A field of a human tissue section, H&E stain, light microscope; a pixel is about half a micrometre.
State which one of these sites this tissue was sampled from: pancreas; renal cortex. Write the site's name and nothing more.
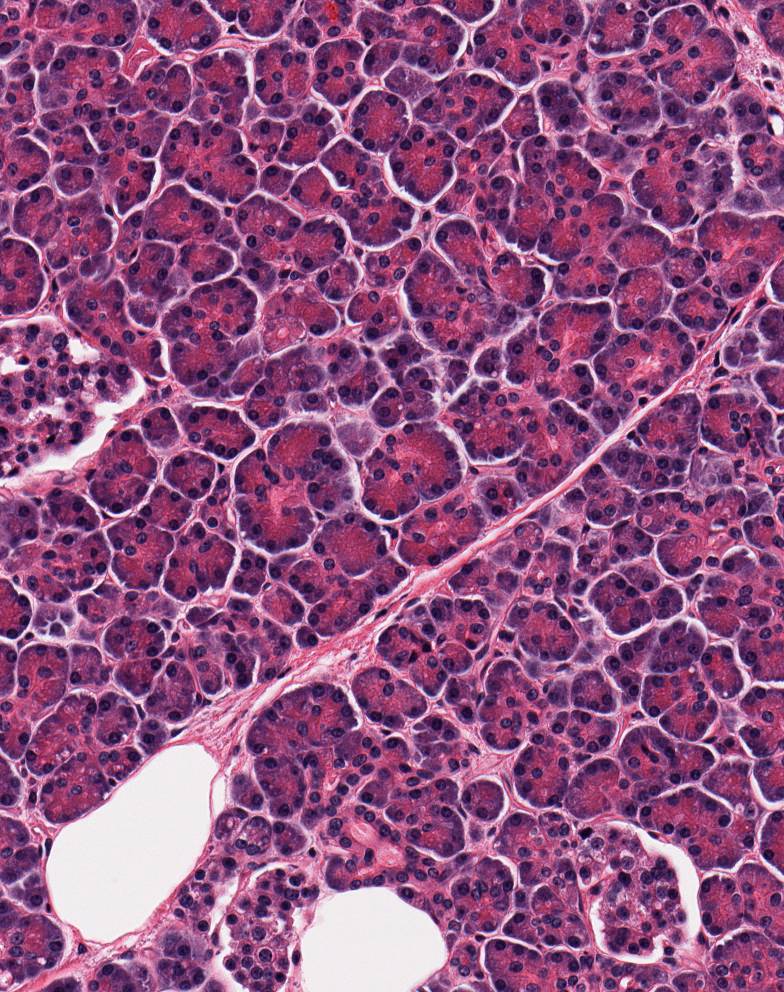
pancreas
